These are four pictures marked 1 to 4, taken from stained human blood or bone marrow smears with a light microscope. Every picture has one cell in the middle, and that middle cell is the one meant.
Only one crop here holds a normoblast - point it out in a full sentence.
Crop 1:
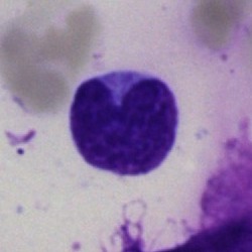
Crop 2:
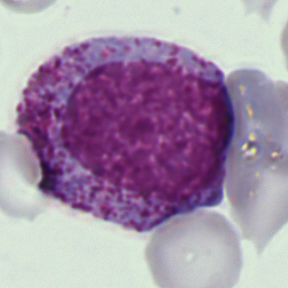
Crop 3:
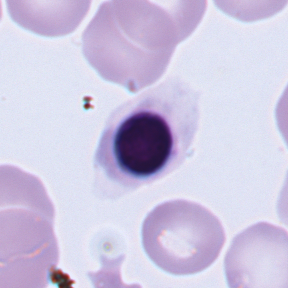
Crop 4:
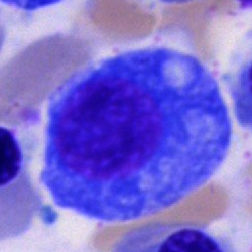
Crop 3 represents a normoblast, while the other crops do not.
